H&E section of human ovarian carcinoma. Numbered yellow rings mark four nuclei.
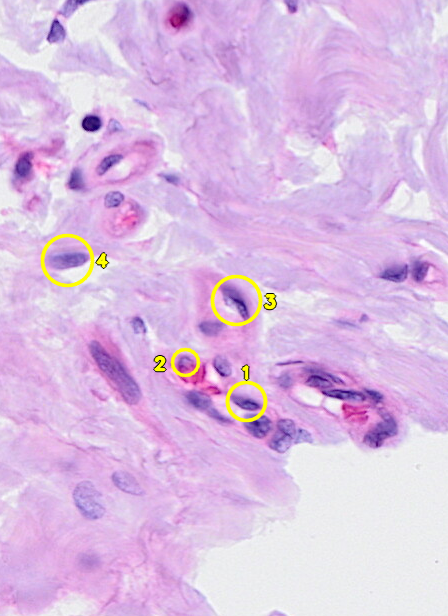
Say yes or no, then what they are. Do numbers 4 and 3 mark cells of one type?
No, cell 4 is a fibroblast; cell 3, by contrast, is an endothelial cell.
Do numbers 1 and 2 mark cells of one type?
Yes, in short, cells 1 and 2 are both endothelial cells.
